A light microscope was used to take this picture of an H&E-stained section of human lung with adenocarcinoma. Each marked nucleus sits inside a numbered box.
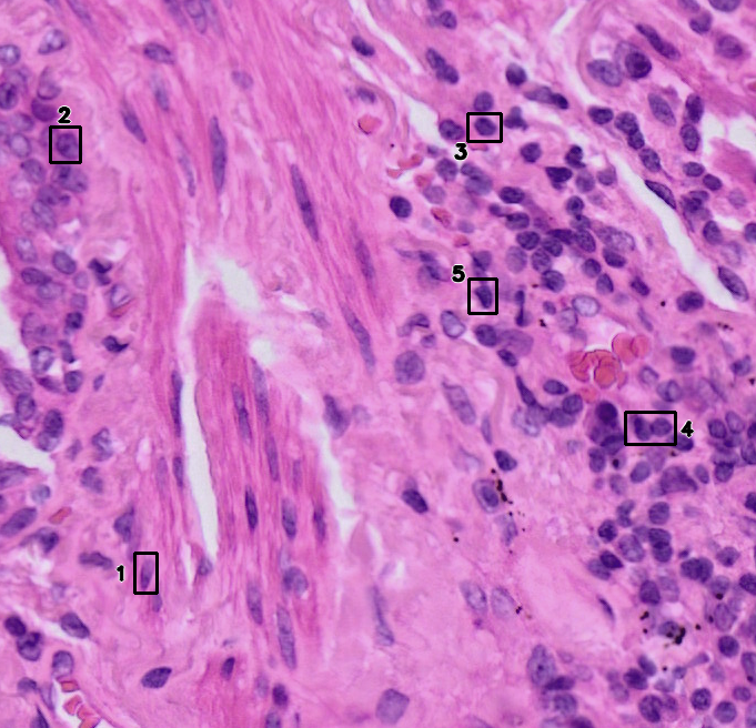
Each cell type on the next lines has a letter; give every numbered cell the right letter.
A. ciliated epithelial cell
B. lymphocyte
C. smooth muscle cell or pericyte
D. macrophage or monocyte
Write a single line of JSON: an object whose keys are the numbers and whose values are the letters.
{"1": "C", "2": "A", "3": "B", "4": "B", "5": "B"}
